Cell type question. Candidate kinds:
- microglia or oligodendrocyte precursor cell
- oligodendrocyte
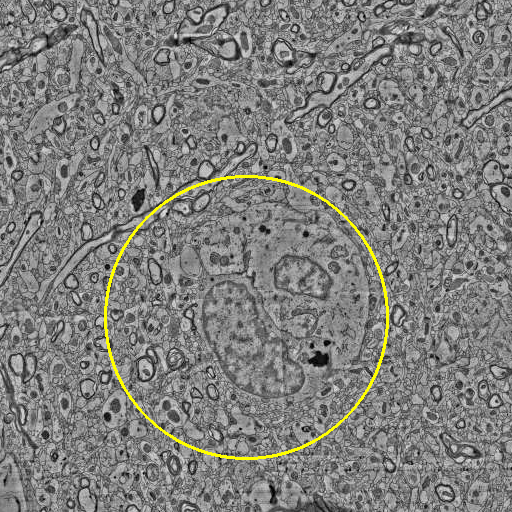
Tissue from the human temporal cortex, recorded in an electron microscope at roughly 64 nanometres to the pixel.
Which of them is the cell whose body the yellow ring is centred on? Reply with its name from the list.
oligodendrocyte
